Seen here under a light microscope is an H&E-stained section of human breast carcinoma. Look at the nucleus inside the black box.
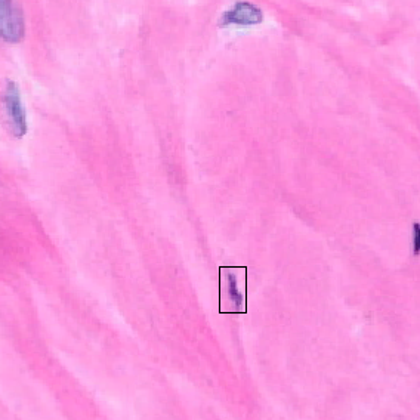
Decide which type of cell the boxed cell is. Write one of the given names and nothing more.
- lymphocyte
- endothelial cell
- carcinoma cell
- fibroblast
fibroblast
